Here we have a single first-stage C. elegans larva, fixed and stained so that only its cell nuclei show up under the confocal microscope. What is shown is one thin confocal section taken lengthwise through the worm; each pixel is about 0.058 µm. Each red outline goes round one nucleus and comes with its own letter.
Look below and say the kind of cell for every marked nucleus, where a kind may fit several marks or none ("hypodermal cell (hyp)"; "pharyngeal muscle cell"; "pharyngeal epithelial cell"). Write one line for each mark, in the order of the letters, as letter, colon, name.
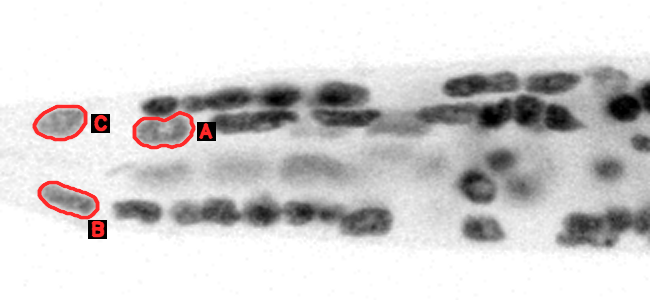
A: pharyngeal epithelial cell
B: hypodermal cell (hyp)
C: hypodermal cell (hyp)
